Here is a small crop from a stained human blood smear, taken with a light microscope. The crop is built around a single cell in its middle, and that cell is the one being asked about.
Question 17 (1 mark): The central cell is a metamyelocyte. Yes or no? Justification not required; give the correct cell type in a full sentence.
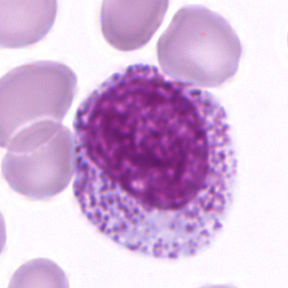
No, looking at the central cell, it is a myelocyte rather than a metamyelocyte.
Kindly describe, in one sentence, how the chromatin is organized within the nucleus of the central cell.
The chromatin in this nucleus is coarsely clumped.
